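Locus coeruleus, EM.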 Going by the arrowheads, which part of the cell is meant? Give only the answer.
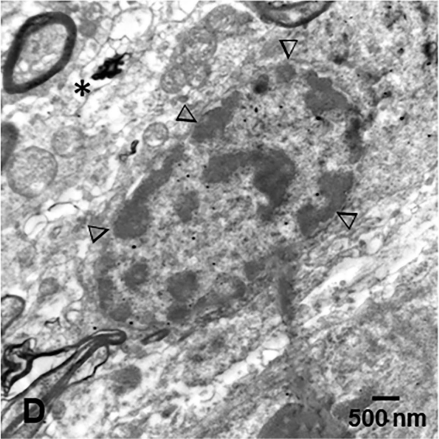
Clumps of heterochromatin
